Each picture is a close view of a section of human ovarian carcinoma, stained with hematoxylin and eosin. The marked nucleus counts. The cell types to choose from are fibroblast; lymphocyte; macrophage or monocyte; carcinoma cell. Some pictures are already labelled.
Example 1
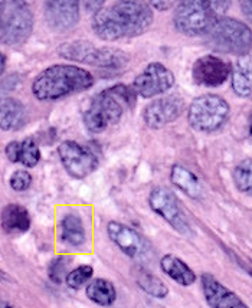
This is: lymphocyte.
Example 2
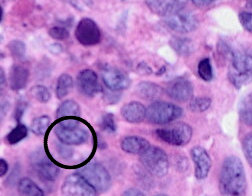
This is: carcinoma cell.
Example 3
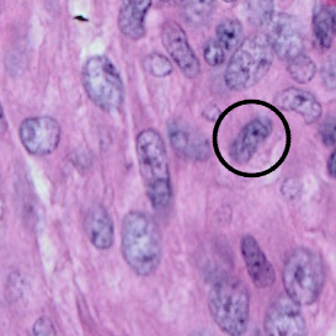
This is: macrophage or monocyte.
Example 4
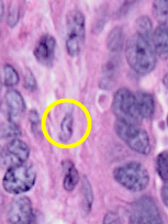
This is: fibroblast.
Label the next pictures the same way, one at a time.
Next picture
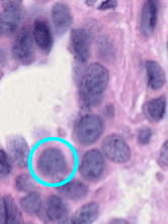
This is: carcinoma cell.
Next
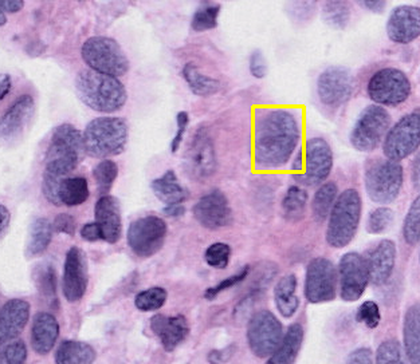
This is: carcinoma cell.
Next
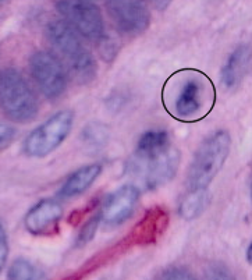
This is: lymphocyte.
